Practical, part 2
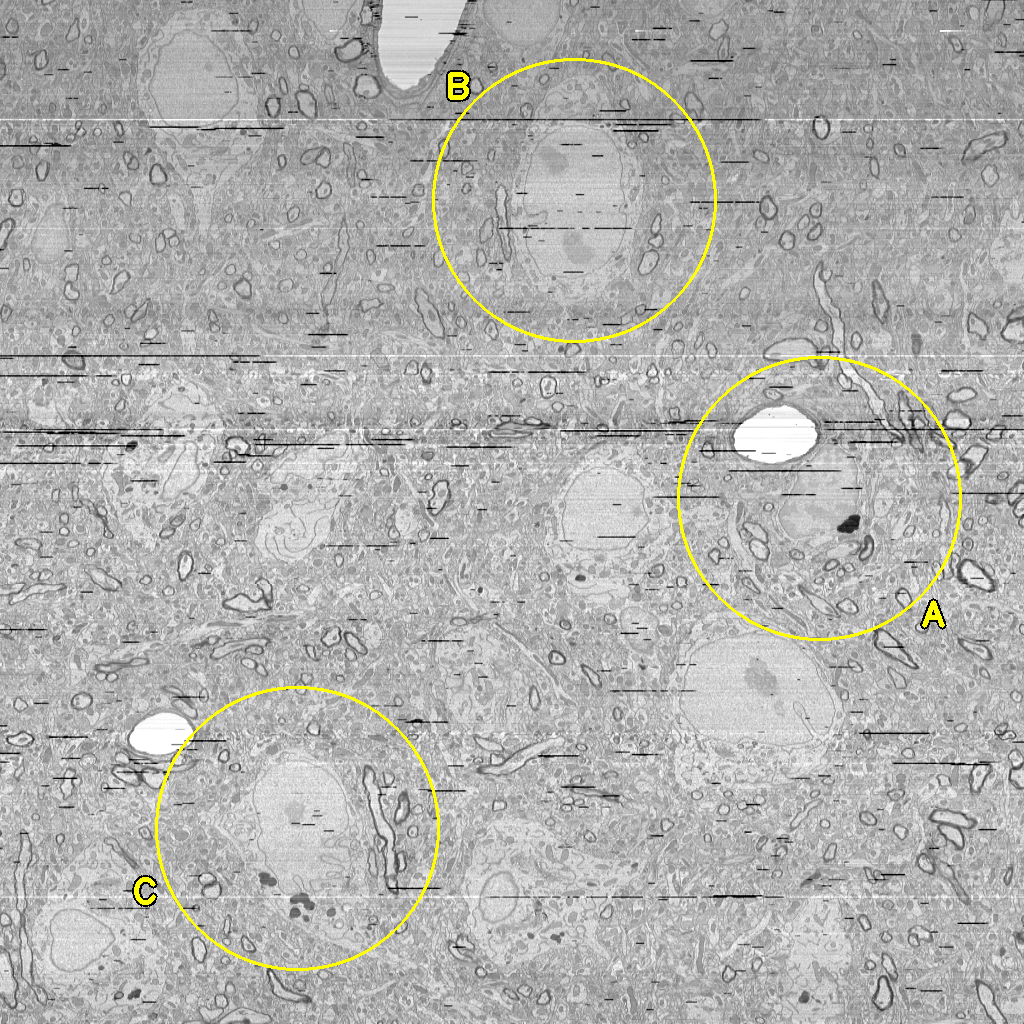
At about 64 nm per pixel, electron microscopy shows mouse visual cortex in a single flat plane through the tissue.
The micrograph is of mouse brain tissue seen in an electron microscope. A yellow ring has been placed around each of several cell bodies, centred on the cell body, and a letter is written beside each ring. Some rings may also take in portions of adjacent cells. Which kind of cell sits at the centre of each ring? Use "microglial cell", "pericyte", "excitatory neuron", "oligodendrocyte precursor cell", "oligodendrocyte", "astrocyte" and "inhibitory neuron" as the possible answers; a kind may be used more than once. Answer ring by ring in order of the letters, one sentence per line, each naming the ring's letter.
Ring A sits on a microglial cell.
Ring B sits on an excitatory neuron.
Ring C sits on an inhibitory neuron.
